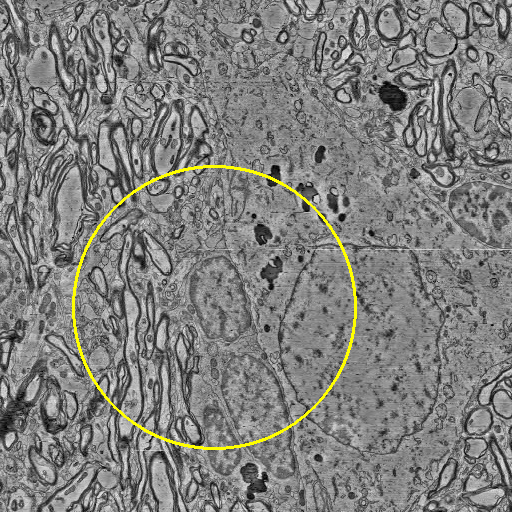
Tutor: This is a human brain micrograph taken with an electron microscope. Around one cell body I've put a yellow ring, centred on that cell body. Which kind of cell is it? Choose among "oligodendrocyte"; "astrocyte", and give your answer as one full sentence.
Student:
Going by your list, the cell centred in the yellow ring is an oligodendrocyte.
